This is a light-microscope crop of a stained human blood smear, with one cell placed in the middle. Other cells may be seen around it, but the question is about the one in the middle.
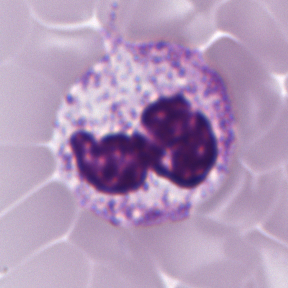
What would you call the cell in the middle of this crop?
segmented neutrophil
